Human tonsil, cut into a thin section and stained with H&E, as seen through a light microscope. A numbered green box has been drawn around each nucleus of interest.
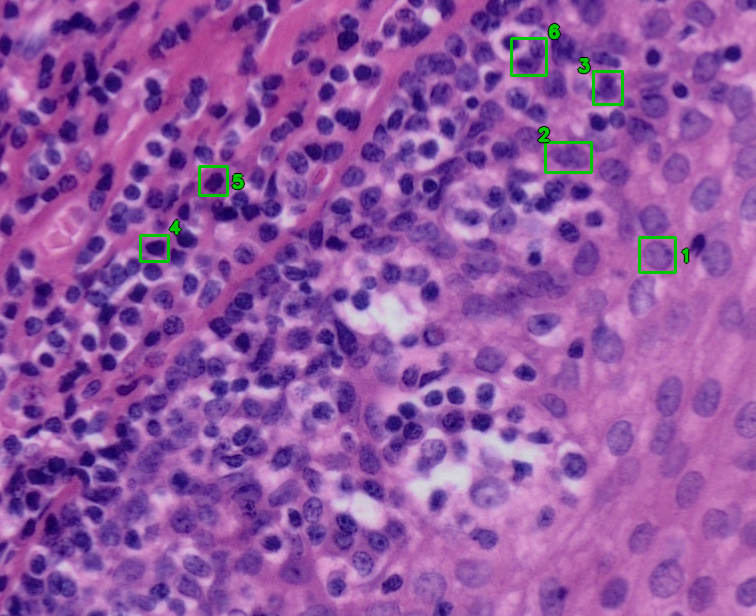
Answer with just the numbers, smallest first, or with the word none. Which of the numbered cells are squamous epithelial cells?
1, 2, 3, 6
